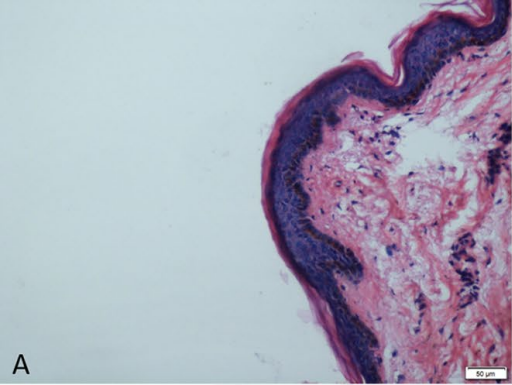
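This is skin stained with hematoxylin and eosin, with a continuous stratified epidermis made of densely packed purple-staining nuclei resting on a pinker dermis. A thin pink stratum corneum caps the surface and the epidermis dips down in ridges into the dermis. The dermis beneath holds loosely arranged pink collagen fibers with scattered nuclei, and the epidermis lies directly on it without any gap.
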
